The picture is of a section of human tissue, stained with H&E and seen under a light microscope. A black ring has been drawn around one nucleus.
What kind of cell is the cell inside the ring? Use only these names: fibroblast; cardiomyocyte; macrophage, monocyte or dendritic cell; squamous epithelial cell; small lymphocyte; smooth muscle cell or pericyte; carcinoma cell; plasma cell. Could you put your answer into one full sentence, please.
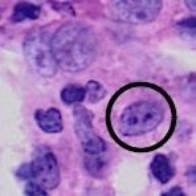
The category to which the cell inside the ring belongs is that of a macrophage, monocyte or dendritic cell.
